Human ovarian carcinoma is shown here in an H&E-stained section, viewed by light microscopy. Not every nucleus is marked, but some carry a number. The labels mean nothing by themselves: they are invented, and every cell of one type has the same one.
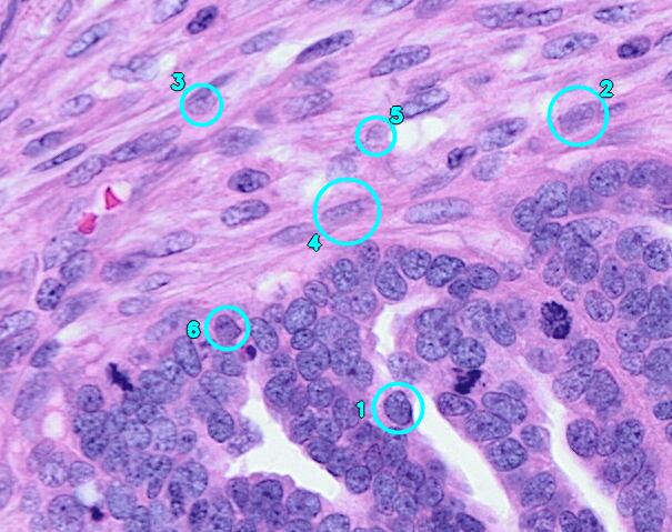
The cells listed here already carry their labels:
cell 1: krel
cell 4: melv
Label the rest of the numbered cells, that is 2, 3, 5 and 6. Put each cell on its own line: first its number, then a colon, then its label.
2: melv
3: melv
5: melv
6: krel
